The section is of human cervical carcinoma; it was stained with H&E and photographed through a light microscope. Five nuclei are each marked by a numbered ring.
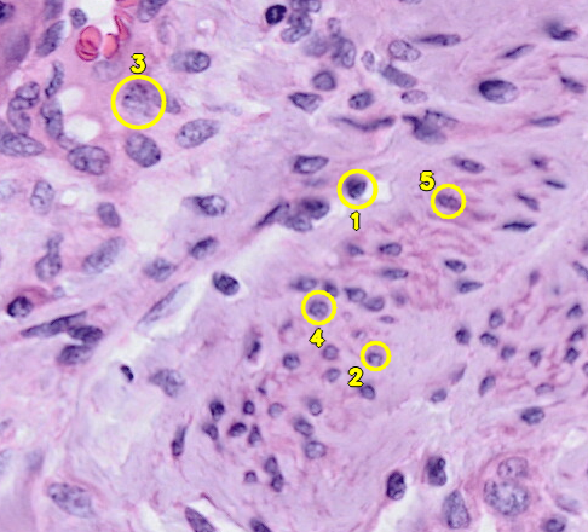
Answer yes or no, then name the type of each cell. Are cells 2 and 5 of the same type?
Yes, both cell 2 and cell 5 are smooth muscle cells.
